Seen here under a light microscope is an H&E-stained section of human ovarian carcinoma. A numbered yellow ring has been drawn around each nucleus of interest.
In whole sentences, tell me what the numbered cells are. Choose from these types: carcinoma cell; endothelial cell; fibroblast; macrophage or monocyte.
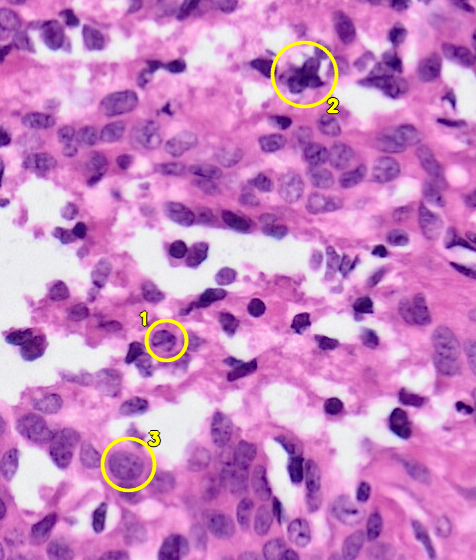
Cell 1 is a macrophage or monocyte, cell 2 is a carcinoma cell and cell 3 is a carcinoma cell.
